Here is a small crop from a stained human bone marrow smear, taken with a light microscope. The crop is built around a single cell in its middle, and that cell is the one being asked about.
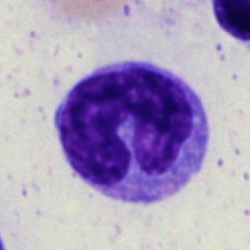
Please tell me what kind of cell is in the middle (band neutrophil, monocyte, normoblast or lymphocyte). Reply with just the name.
monocyte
